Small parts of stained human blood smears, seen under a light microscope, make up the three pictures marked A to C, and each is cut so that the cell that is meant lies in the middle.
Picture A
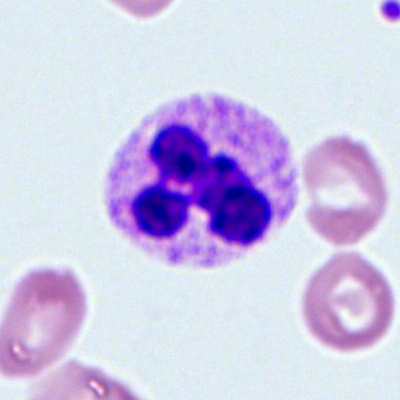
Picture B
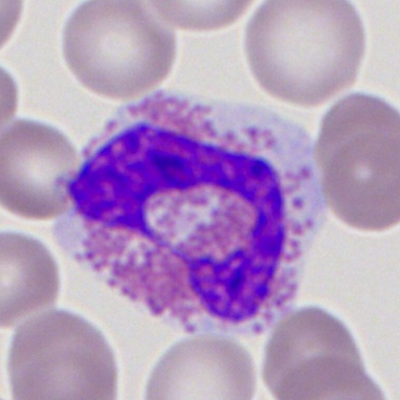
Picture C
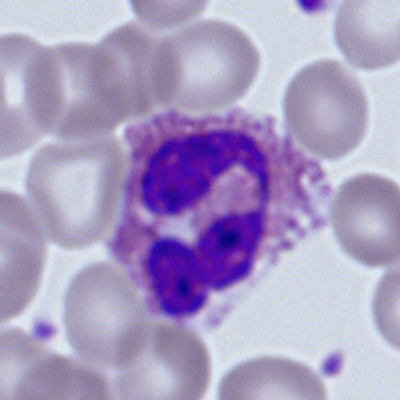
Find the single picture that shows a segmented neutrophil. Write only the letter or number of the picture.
A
